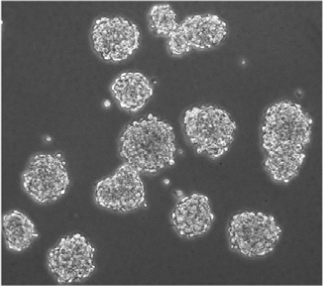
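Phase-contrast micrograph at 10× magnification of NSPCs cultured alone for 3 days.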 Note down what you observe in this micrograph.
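This field shows free-floating neurospheres, compact spherical clusters formed by many small, rounded cells. Each sphere has a bright, refractile rim and a granular interior in which the individual cell outlines can just be made out. No flattened or spread cells attached to the substrate are seen.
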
